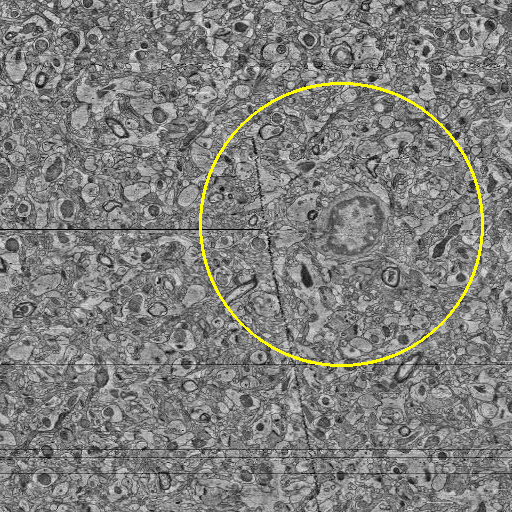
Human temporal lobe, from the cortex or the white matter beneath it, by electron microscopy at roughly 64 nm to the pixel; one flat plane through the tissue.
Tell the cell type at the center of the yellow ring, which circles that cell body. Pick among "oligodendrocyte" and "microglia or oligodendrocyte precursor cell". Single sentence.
The ring is centered on the body of an oligodendrocyte.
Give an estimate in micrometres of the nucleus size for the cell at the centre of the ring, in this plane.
About 4 by 3 micrometers for the nucleus, in this plane.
